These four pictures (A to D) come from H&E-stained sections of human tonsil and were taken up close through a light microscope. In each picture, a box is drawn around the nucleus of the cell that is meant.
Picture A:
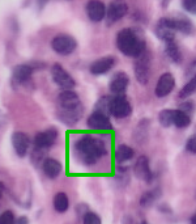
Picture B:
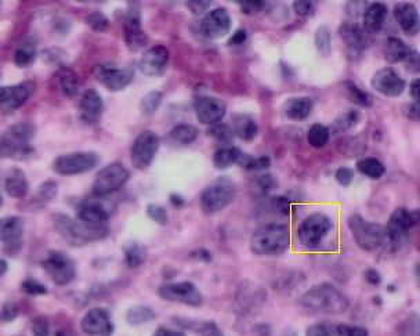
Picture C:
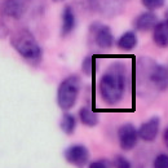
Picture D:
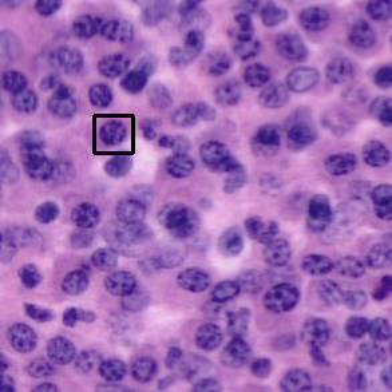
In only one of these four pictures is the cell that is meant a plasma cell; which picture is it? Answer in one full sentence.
The plasma cell is the one in picture D.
